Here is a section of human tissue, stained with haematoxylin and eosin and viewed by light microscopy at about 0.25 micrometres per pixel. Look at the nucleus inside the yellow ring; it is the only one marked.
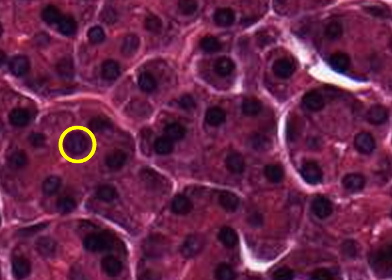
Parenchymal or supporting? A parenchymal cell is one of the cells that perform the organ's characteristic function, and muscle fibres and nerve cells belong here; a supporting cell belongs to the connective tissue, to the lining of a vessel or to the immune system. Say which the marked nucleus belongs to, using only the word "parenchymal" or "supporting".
parenchymal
